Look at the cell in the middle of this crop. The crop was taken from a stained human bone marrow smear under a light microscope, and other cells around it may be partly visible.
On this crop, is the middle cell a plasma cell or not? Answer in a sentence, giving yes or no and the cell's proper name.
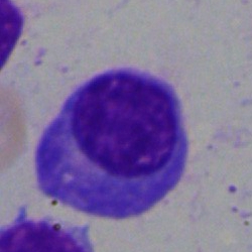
Yes, the cell under consideration, the one in the middle, is a plasma cell.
